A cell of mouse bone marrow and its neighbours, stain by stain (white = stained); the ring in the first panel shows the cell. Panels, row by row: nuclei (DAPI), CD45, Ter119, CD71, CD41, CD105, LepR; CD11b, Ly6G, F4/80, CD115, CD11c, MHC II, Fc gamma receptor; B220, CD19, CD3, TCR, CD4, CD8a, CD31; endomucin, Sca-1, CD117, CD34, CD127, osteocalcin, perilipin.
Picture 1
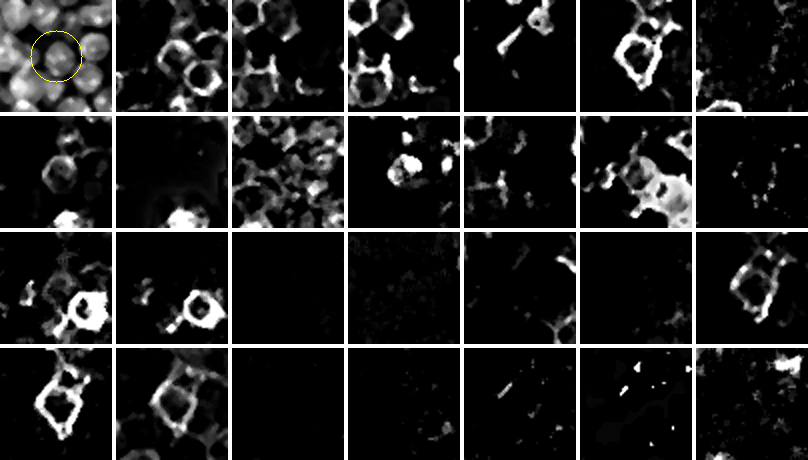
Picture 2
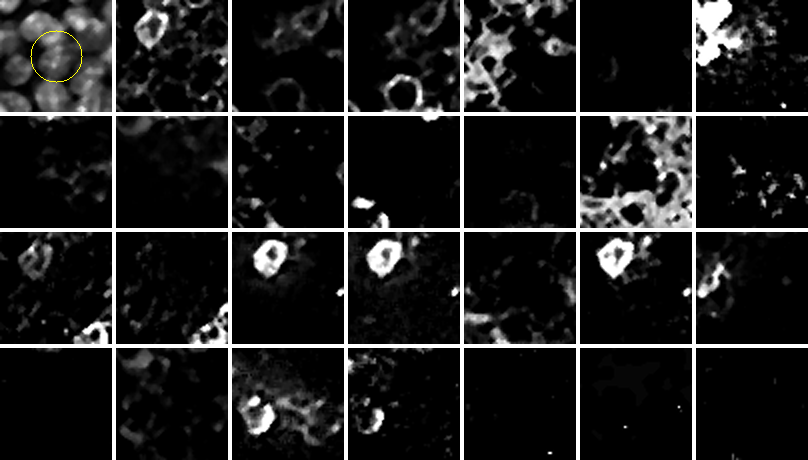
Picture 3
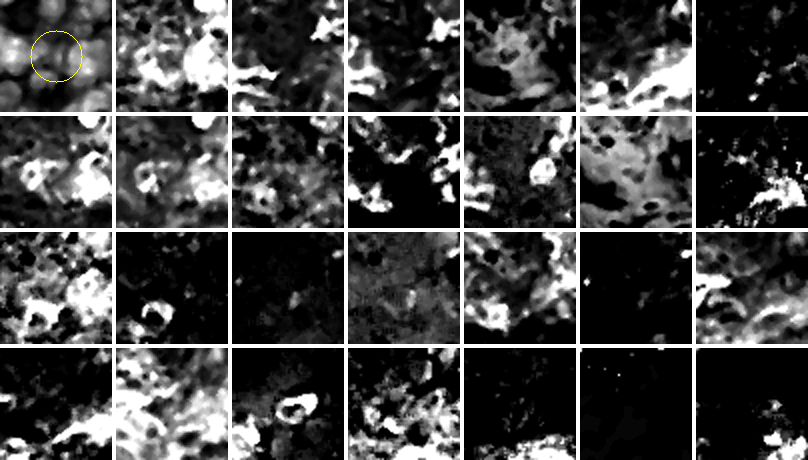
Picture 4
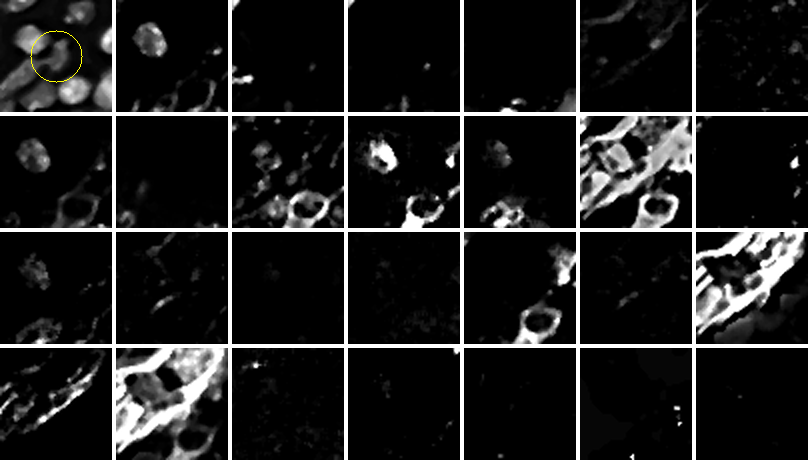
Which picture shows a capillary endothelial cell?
Picture 4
